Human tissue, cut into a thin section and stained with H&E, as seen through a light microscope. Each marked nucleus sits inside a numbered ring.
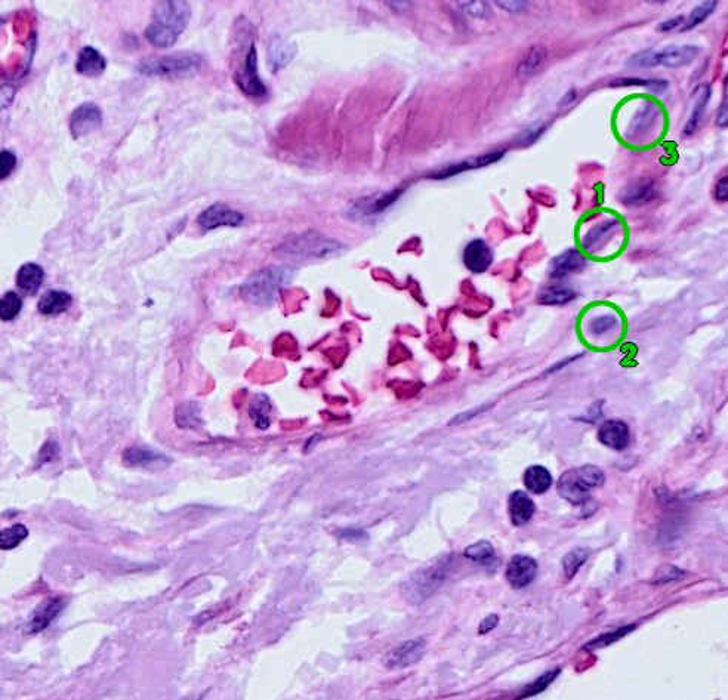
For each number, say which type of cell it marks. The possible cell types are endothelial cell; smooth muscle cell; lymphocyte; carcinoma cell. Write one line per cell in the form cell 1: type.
cell 1: endothelial cell
cell 2: lymphocyte
cell 3: endothelial cell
